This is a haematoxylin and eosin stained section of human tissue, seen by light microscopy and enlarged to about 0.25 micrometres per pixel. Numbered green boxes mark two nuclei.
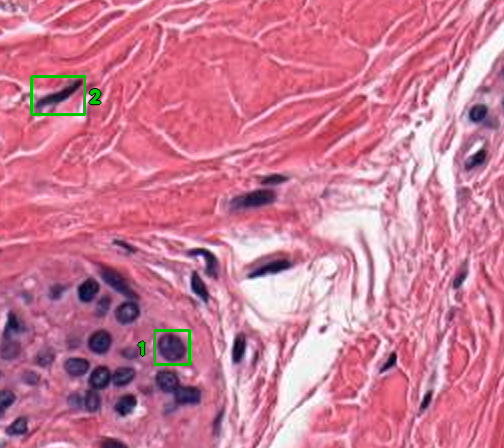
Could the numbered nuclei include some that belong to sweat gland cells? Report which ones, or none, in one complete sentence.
Save for nucleus 1, no numbered nucleus belongs to a sweat gland cell.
